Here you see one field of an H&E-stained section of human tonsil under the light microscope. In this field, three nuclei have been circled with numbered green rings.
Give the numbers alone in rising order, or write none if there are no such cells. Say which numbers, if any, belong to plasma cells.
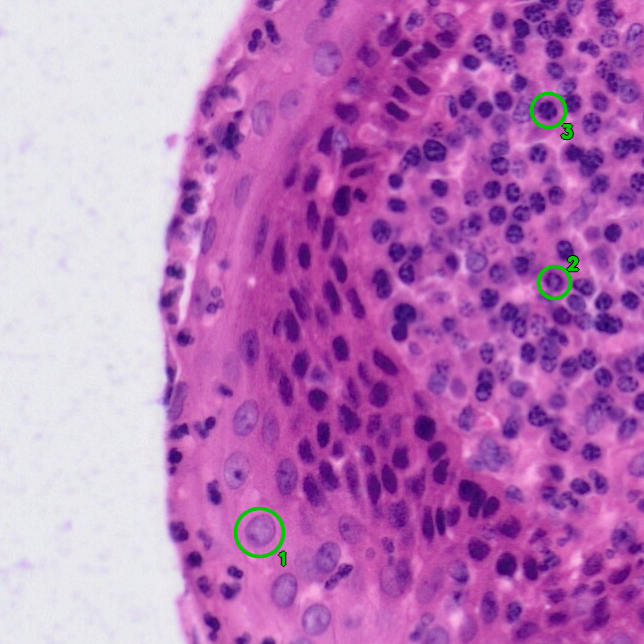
2, 3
